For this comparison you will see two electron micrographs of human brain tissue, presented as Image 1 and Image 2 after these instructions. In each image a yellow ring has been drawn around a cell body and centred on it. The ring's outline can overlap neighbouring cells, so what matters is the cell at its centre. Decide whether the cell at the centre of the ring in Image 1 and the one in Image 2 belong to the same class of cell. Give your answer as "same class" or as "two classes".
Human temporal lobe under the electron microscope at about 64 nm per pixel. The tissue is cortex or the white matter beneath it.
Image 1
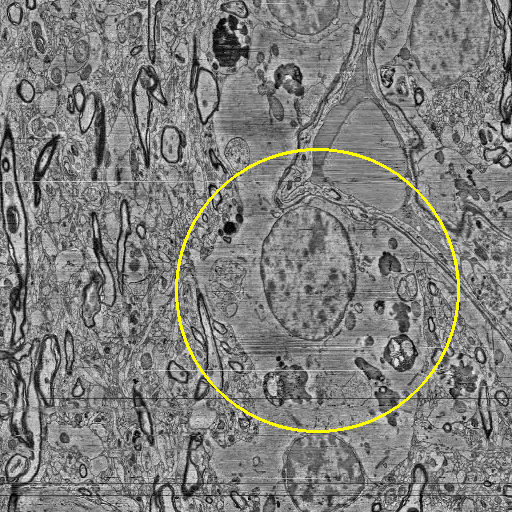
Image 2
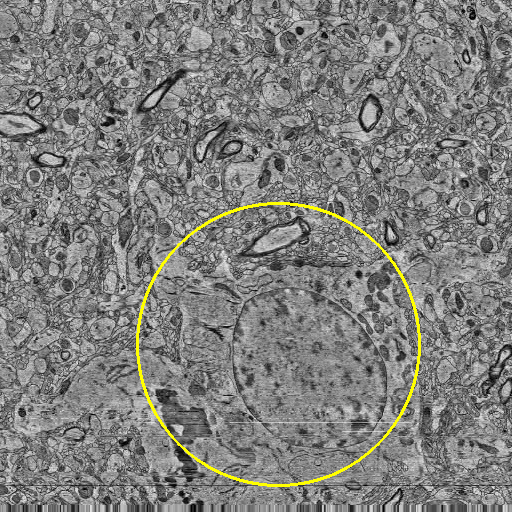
same class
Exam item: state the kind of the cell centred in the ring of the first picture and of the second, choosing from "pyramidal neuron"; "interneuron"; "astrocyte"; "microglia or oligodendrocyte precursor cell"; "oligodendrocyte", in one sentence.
Each cell, in the first picture and the second, is an astrocyte.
